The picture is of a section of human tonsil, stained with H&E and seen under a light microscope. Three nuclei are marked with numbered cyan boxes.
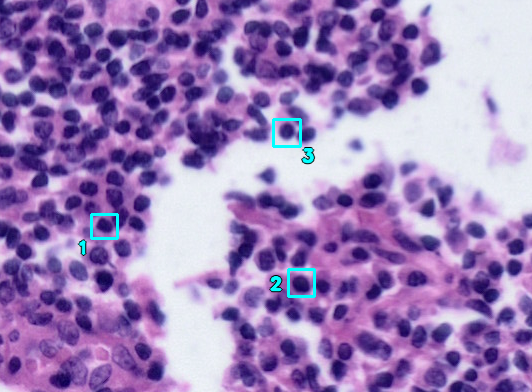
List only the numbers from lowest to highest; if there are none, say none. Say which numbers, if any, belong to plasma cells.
2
